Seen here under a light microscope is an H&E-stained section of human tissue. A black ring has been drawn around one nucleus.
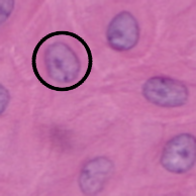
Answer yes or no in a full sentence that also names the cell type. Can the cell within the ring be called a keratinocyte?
Yes, a keratinocyte is the correct identification for the cell within the ring.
